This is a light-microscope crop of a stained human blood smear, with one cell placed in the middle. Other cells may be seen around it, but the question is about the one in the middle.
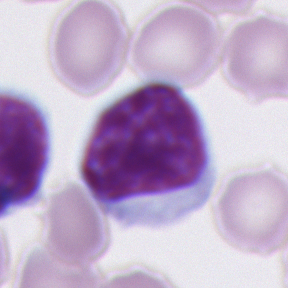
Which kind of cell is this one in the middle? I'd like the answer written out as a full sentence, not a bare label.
Here the cell in the middle is a typical lymphocyte.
